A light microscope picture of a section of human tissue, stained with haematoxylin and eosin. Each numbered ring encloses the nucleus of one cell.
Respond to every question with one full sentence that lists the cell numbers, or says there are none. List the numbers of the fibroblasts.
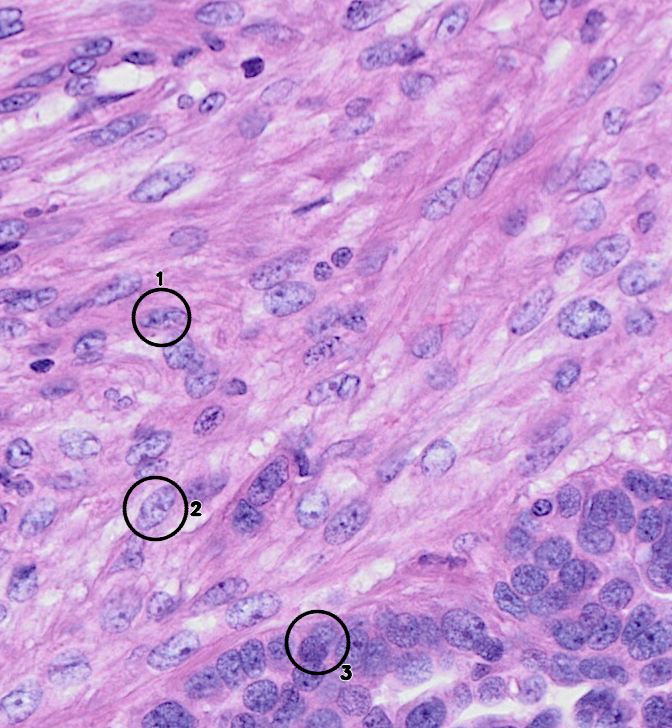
Cells 1 and 2 share one type; they are fibroblasts.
